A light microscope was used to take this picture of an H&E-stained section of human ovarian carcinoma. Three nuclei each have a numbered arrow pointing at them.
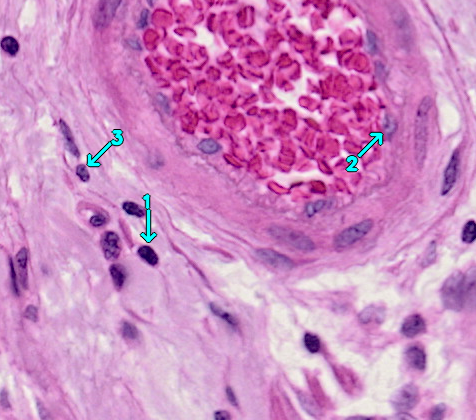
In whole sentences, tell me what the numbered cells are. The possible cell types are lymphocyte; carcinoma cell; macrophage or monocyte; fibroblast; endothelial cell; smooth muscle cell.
Cell 1 is a lymphocyte, cell 2 is an endothelial cell and cell 3 is a lymphocyte.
